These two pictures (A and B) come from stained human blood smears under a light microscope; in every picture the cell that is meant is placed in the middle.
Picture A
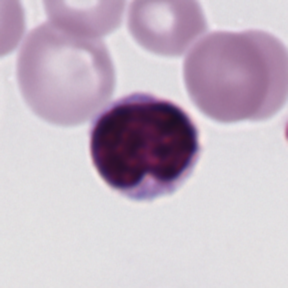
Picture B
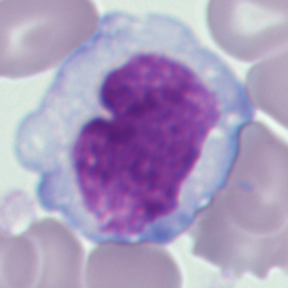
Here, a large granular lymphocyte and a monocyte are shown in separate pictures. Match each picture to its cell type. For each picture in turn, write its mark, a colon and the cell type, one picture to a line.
A: large granular lymphocyte
B: monocyte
